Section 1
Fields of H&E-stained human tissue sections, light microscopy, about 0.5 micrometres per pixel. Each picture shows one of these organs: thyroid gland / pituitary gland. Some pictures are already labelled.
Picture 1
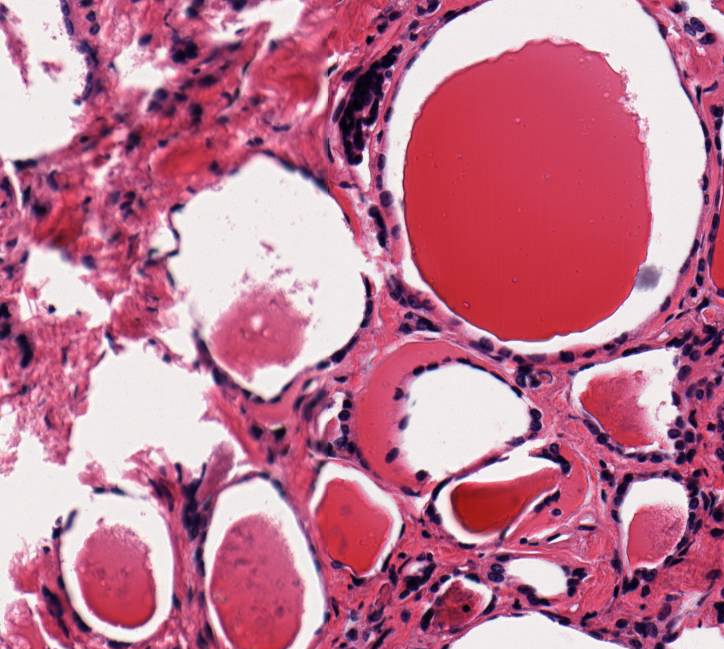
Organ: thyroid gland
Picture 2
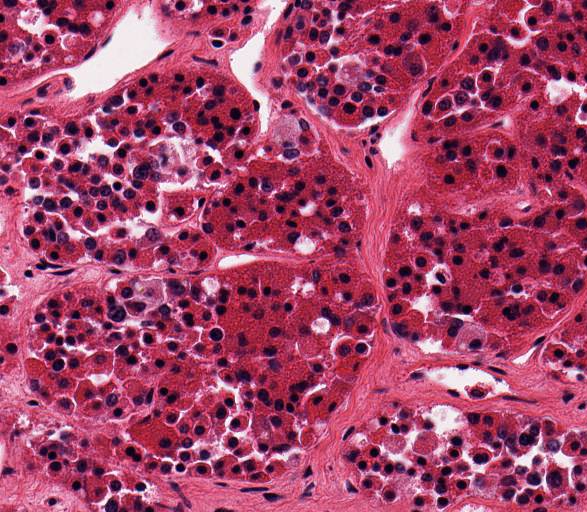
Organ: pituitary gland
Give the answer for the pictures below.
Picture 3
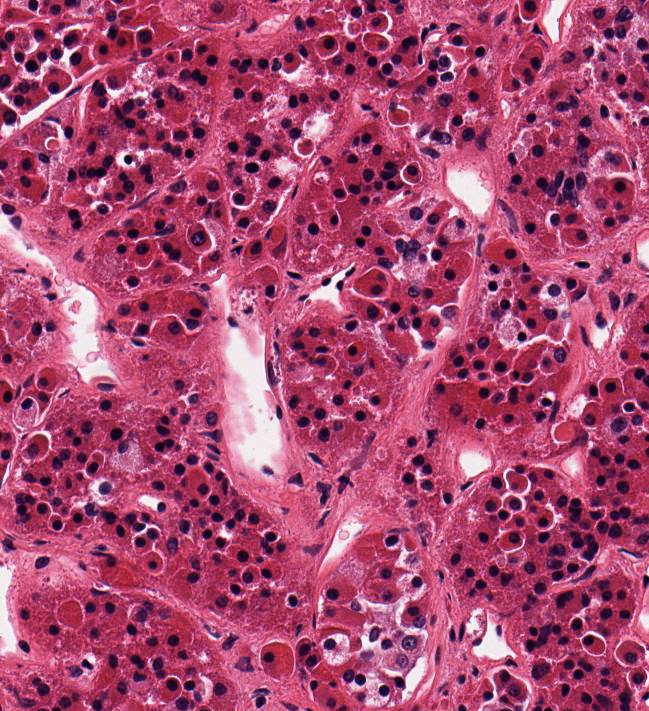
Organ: pituitary gland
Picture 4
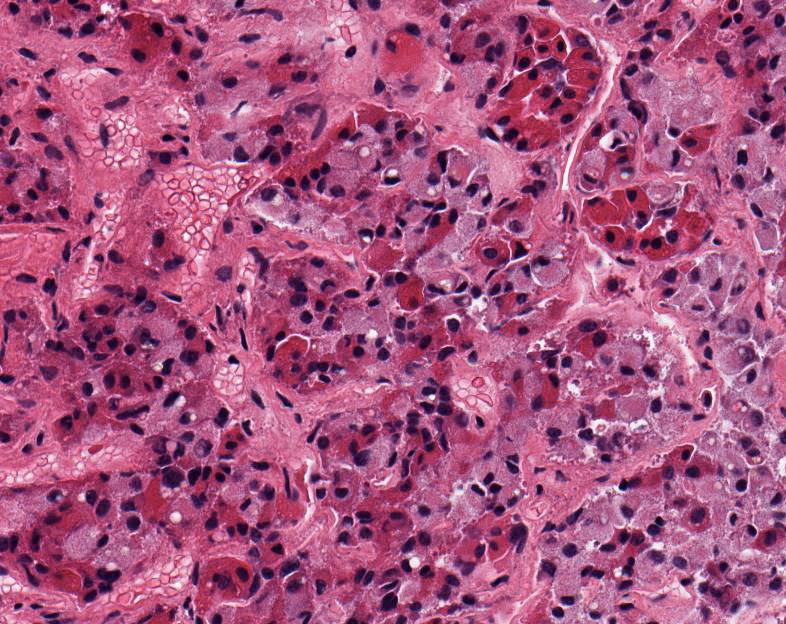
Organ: pituitary gland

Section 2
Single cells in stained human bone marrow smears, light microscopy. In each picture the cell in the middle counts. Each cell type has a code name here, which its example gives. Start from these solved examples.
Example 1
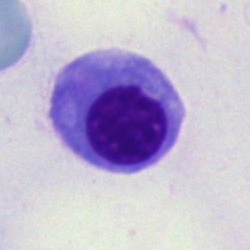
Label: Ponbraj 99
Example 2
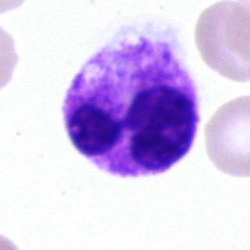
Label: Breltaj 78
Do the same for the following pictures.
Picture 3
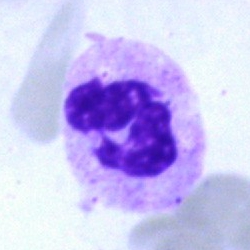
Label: Breltaj 78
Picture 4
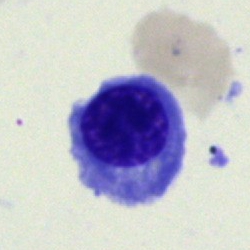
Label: Ponbraj 99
